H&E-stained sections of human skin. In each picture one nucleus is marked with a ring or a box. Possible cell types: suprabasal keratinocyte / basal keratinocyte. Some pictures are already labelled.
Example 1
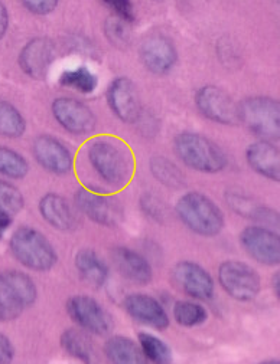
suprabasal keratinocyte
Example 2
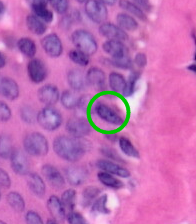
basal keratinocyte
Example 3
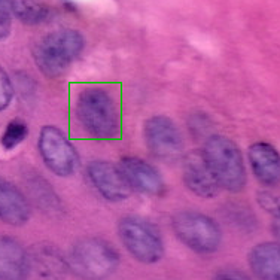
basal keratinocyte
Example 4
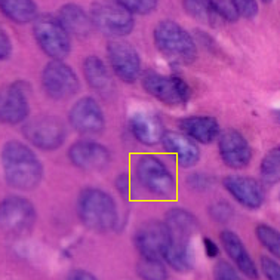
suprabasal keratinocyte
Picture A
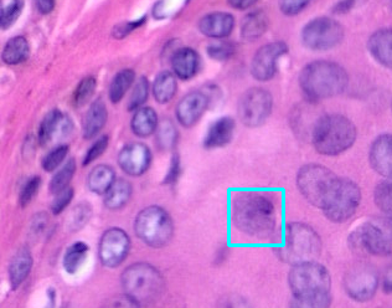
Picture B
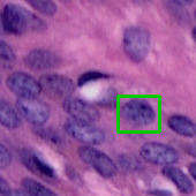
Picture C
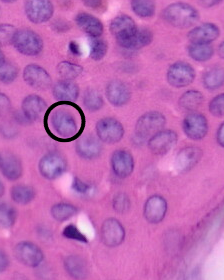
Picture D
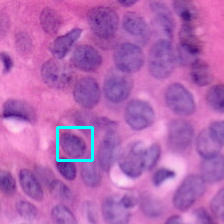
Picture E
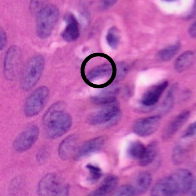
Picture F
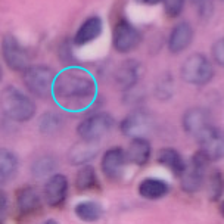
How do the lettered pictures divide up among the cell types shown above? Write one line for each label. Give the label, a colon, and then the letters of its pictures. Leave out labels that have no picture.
suprabasal keratinocyte: A, C
basal keratinocyte: B, D, E, F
